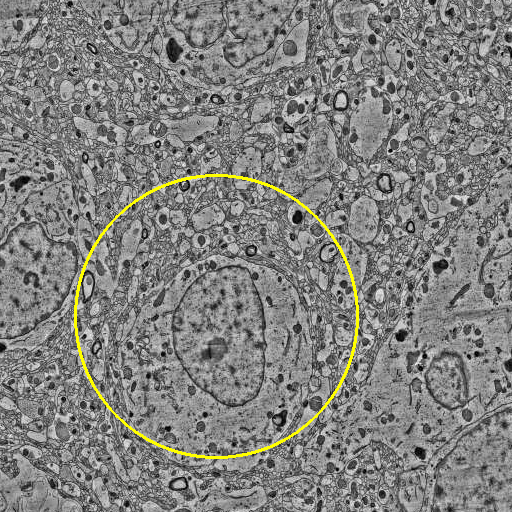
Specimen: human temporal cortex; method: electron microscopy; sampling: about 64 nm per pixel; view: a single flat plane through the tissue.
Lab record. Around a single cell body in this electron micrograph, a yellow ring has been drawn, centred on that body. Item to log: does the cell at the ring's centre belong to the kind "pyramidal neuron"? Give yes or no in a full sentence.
Yes, in the micrograph, the ringed cell at the centre belongs to that kind.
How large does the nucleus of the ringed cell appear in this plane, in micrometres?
The nucleus measures about 9 by 6 micrometres, so it is clearly longer than it is wide in this plane.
